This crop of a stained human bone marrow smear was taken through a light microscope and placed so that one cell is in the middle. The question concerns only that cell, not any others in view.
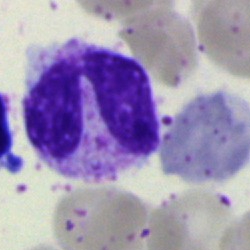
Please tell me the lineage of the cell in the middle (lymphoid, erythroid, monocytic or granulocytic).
granulocytic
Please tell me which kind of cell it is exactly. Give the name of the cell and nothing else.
segmented neutrophil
